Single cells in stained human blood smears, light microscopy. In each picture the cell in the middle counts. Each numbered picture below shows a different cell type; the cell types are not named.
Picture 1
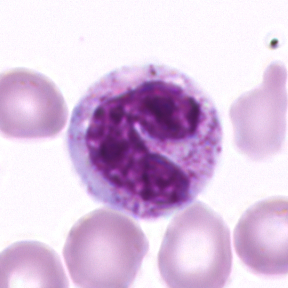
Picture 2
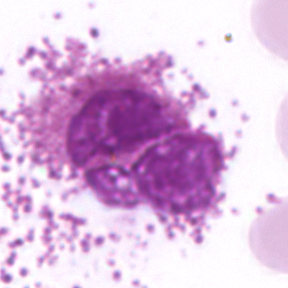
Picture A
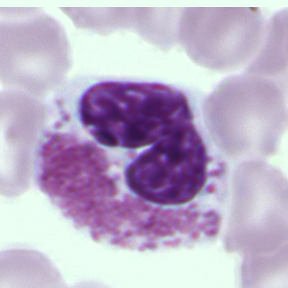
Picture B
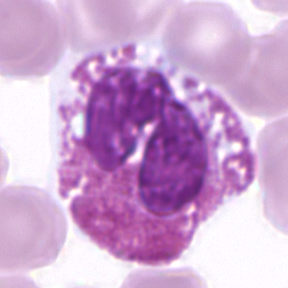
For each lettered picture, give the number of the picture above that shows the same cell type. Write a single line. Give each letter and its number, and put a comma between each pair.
A 2, B 2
